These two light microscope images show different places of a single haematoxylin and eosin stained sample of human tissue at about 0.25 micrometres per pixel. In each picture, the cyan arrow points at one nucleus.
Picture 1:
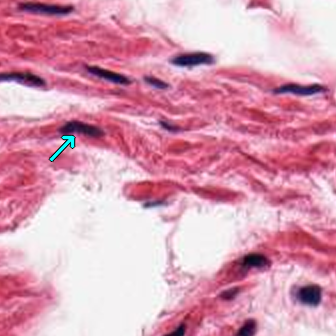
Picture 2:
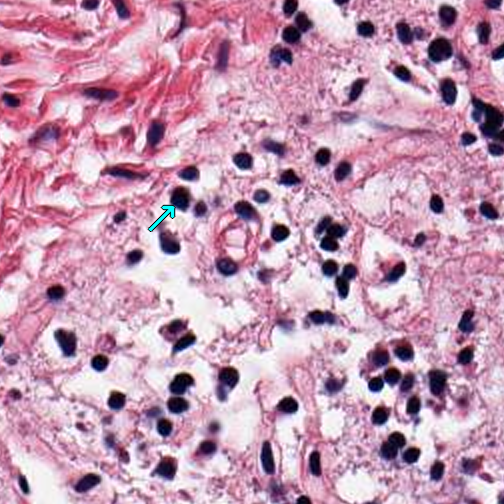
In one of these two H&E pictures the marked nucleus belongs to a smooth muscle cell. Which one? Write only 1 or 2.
1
